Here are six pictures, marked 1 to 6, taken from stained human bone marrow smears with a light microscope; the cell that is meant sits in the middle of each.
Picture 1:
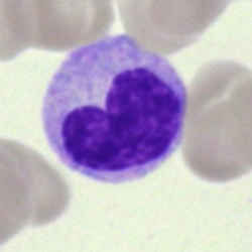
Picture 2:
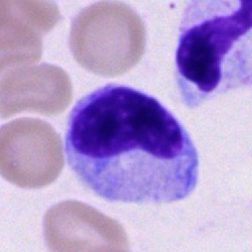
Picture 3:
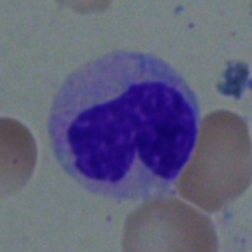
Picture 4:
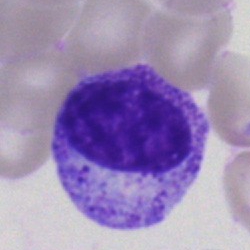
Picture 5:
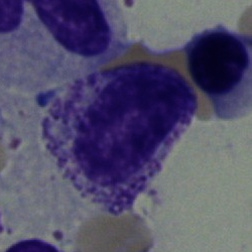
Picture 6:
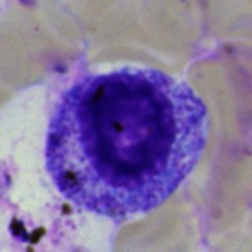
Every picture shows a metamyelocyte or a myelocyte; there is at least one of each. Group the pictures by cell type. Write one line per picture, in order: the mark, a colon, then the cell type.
1: metamyelocyte
2: metamyelocyte
3: metamyelocyte
4: myelocyte
5: myelocyte
6: myelocyte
